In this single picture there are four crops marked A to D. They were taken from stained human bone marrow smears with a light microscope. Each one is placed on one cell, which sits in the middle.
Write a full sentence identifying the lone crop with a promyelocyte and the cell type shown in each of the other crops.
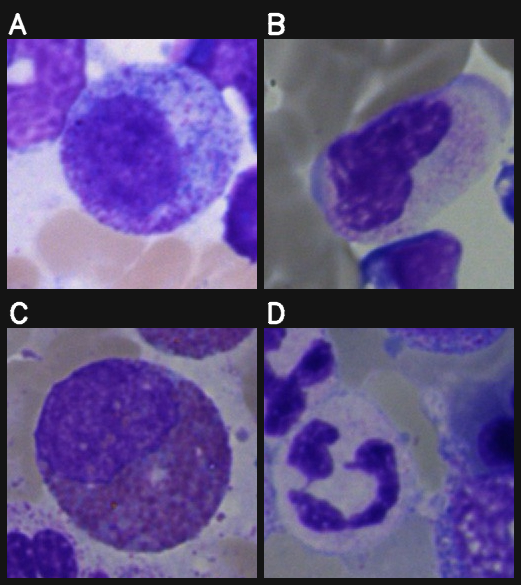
The central cell in crop A is a promyelocyte, whereas crop B is a band neutrophil, crop C is an eosinophil and crop D is a segmented neutrophil.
